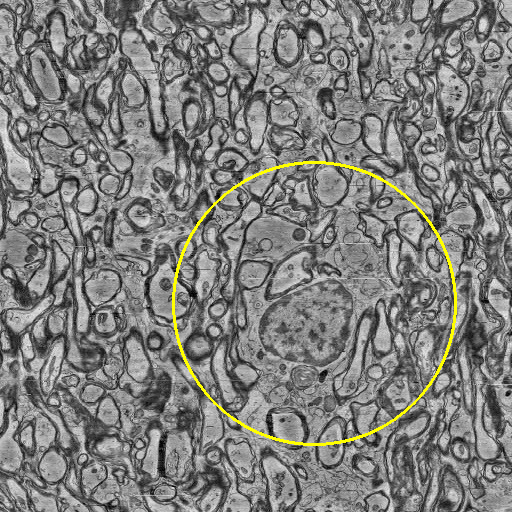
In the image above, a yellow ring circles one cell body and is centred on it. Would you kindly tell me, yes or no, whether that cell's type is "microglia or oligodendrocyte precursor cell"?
yes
